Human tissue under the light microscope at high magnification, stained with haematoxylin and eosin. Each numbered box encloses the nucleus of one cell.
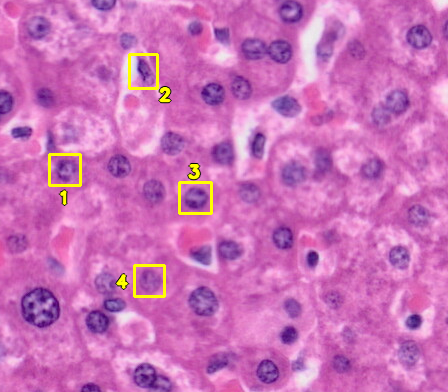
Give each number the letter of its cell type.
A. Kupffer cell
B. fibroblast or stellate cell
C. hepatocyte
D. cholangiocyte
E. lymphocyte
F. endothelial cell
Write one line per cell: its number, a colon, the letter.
1: C
2: A
3: C
4: C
